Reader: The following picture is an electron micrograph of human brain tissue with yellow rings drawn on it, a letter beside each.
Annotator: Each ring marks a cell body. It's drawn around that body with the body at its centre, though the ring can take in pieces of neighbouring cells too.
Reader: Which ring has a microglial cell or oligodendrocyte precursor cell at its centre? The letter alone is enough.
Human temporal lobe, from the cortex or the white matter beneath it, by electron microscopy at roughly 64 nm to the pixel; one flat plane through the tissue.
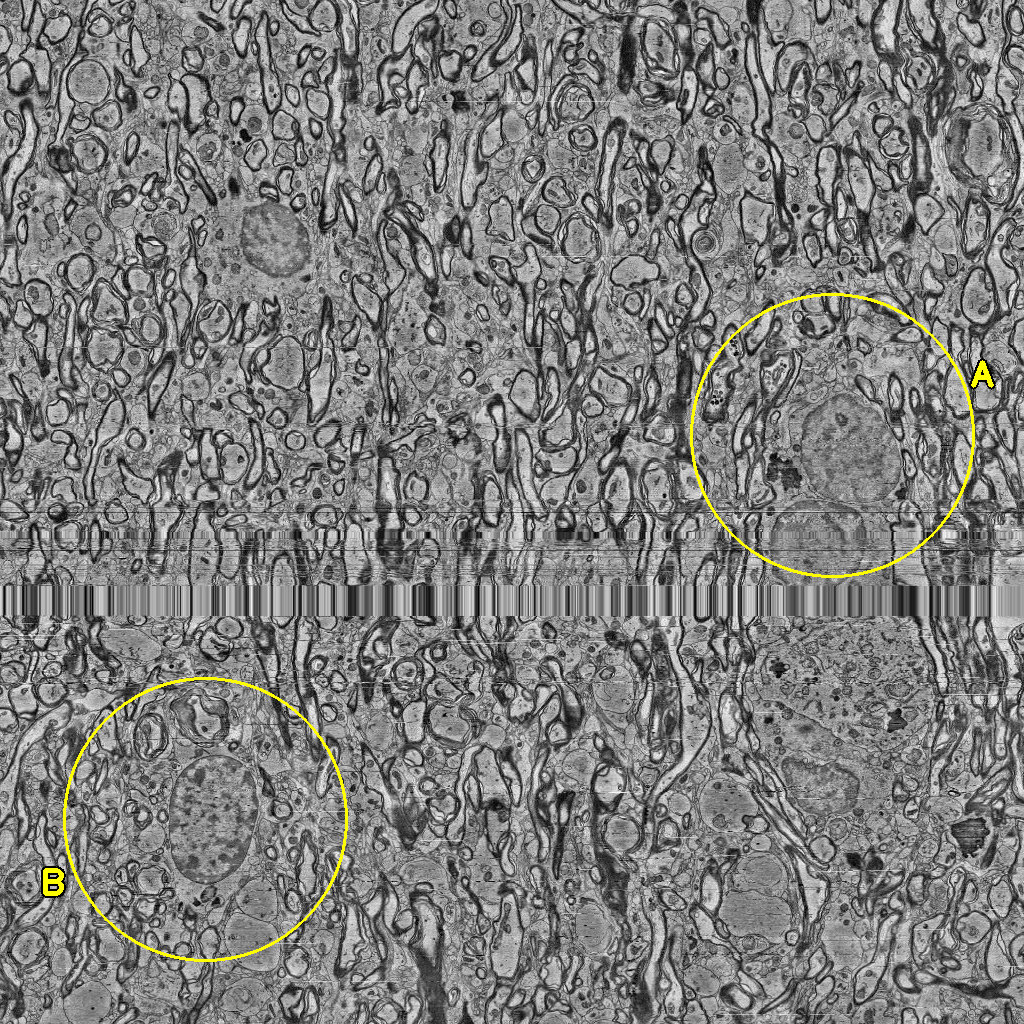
B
